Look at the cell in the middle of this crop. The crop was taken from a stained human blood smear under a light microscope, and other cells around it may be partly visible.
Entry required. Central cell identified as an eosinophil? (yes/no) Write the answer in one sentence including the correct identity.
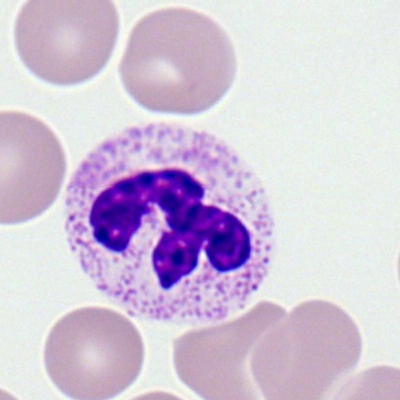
No, the cell occupying the centre is a segmented neutrophil, not an eosinophil.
